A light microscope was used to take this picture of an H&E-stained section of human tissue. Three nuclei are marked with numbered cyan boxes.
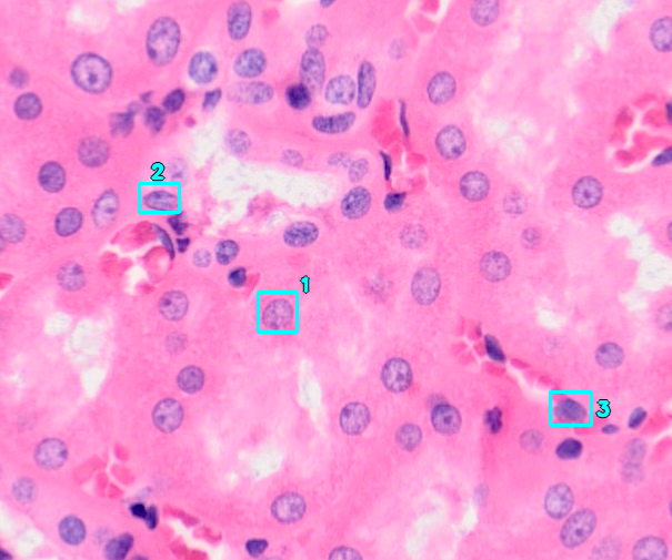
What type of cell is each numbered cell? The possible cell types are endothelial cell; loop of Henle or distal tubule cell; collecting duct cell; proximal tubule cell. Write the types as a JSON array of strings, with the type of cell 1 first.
["proximal tubule cell", "collecting duct cell", "endothelial cell"]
